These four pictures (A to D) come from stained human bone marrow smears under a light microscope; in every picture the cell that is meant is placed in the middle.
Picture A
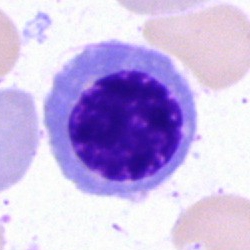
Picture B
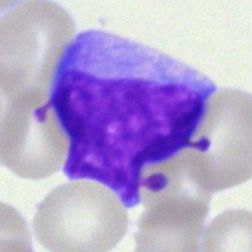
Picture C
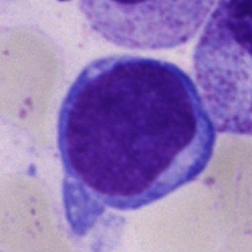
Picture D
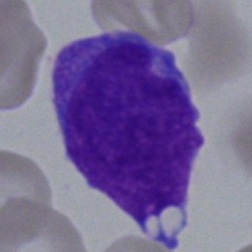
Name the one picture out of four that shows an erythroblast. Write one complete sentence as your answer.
The cell in picture A is the erythroblast.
